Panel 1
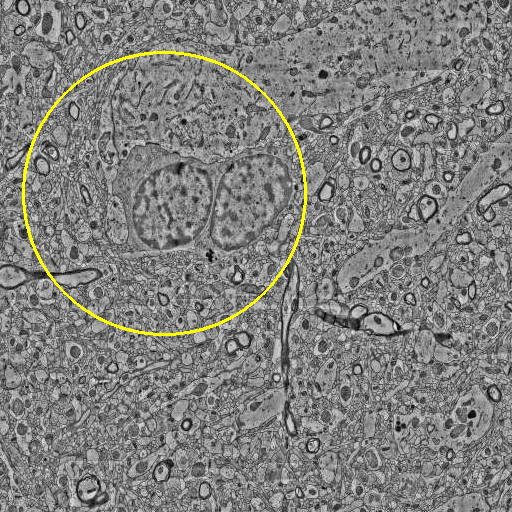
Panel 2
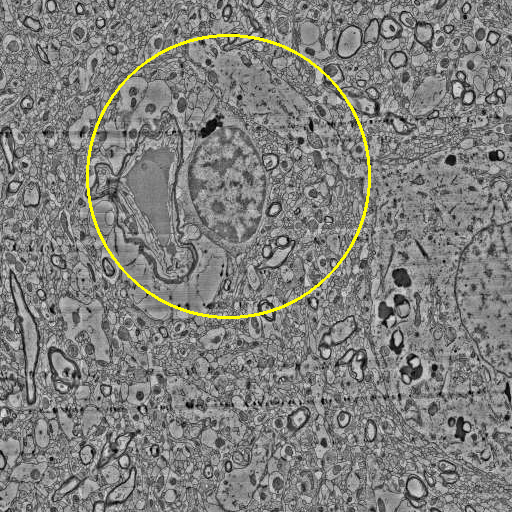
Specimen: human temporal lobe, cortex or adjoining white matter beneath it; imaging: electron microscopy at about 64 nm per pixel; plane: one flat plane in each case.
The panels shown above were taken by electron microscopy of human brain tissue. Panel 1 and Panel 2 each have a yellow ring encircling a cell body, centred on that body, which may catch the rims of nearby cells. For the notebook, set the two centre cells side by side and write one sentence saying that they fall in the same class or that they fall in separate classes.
The centred cells of Panel 1 and Panel 2 fall in the same class.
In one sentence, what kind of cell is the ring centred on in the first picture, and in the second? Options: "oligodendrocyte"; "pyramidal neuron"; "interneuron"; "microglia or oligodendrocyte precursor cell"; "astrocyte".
Each of the two pictures has an oligodendrocyte at the ring centre.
